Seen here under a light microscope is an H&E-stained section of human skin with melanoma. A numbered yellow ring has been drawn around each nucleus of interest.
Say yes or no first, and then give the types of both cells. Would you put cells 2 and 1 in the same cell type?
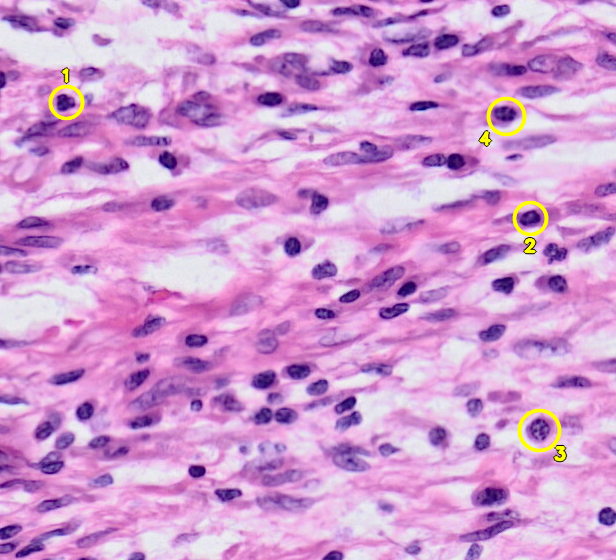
No, cell 2 is a plasma cell and cell 1 is a lymphocyte.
